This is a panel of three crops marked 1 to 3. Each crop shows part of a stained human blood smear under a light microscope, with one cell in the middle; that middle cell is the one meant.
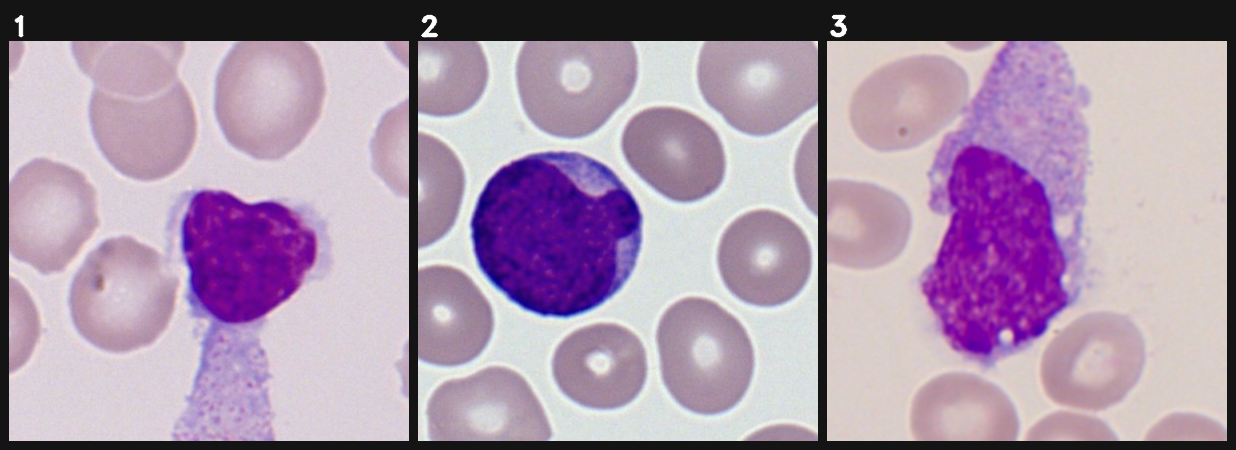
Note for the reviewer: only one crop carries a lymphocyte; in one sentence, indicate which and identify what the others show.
Crop 1 shows a lymphocyte, and as for the other crops, crop 2 is a myeloblast and crop 3 is a monocyte.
